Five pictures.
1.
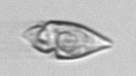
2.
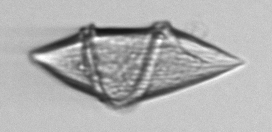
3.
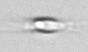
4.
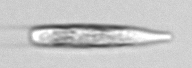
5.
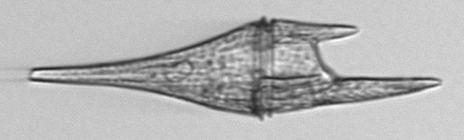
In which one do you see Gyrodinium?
In picture 2.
